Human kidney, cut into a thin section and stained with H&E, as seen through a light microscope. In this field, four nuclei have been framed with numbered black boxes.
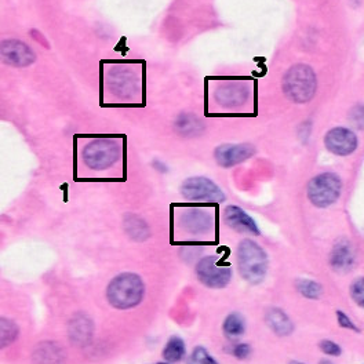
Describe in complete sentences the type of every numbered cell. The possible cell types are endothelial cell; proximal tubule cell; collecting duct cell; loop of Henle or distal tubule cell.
Cell 1 is a proximal tubule cell, cell 2 is a collecting duct cell, cell 3 is a proximal tubule cell and cell 4 is a proximal tubule cell.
